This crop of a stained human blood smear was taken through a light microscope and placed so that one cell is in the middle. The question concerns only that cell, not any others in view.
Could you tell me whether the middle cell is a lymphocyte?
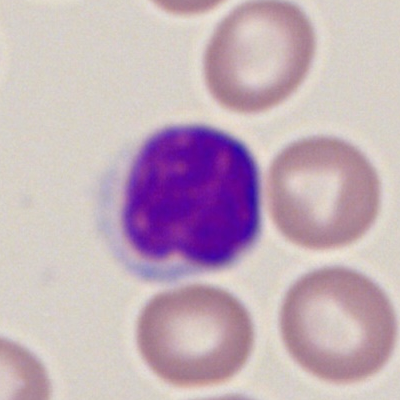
yes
